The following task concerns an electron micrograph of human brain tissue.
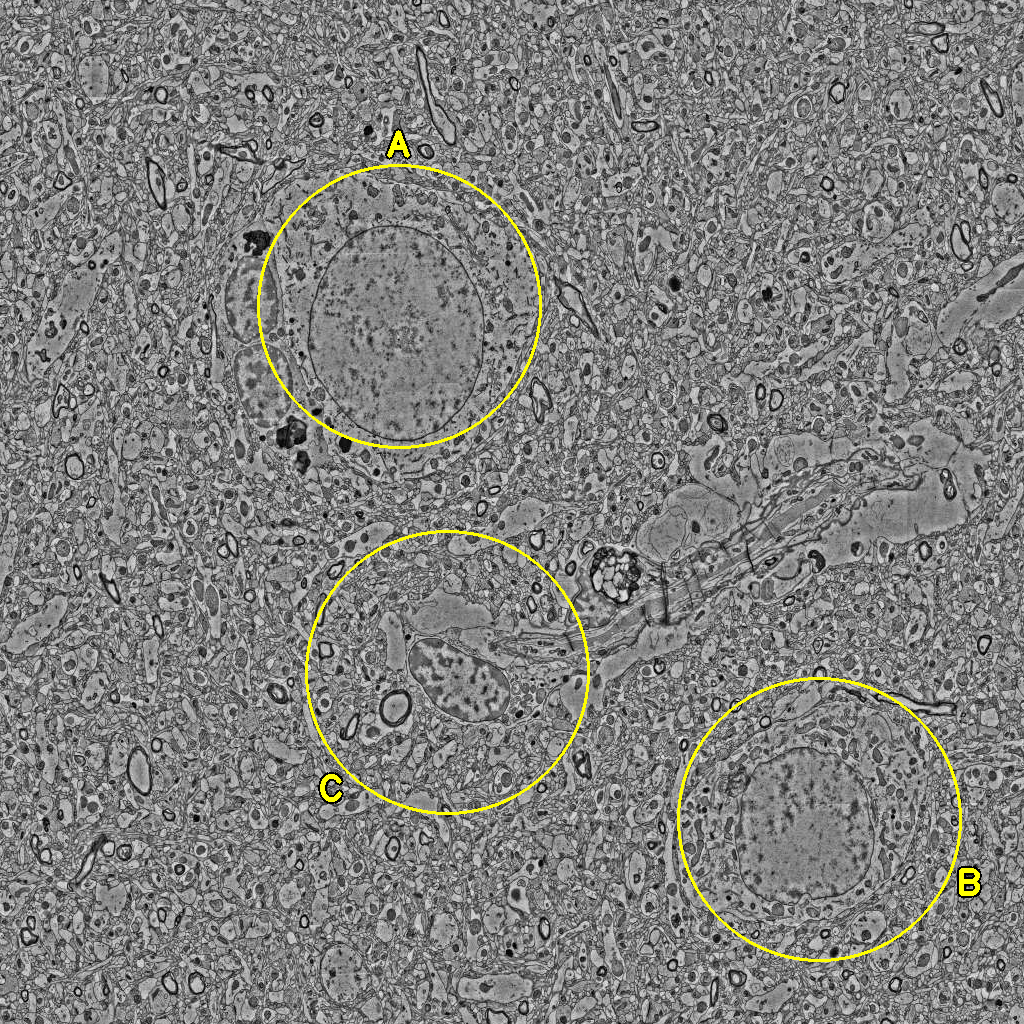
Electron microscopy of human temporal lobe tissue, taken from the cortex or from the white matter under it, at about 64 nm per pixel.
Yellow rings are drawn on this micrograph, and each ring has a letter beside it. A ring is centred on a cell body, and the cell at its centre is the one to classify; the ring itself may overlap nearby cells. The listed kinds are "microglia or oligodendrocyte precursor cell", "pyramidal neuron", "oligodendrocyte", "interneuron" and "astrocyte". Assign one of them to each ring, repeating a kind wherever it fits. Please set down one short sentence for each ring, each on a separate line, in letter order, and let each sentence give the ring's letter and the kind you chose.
The cell ringed as A is a pyramidal neuron.
The cell ringed as B is an interneuron.
The cell ringed as C is a microglial cell or oligodendrocyte precursor cell.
